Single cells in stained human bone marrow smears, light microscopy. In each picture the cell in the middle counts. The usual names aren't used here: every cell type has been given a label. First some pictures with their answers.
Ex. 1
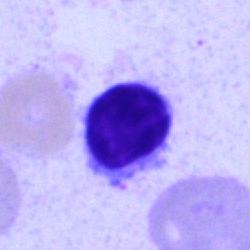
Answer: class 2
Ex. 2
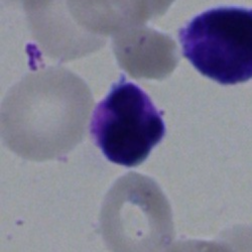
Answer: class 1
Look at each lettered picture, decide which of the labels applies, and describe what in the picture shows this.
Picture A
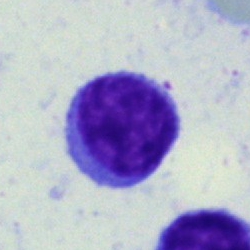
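class 2. The cytoplasm forms only a thin rim around the nucleus.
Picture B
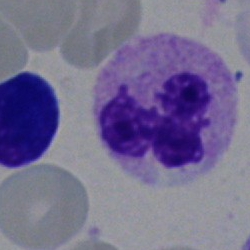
class 1. The cytoplasm is abundant and pale lilac-pink.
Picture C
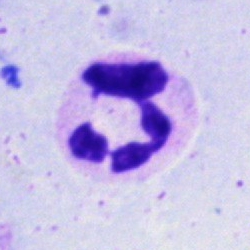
class 1. The cytoplasm is plentiful and pale pink.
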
